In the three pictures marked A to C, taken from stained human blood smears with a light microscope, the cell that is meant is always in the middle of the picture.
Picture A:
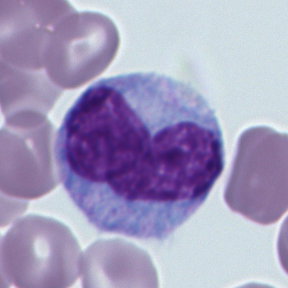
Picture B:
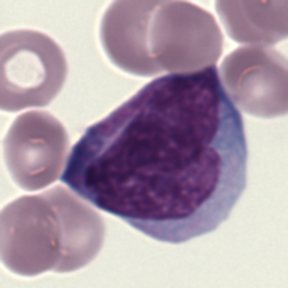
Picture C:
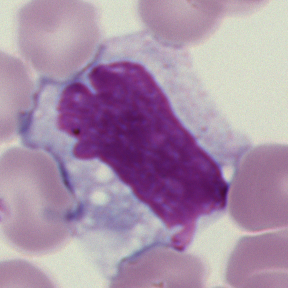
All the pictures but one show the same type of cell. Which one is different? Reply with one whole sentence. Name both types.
Picture B differs, because its cell is an atypical promyelocyte and the rest are monocytes.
